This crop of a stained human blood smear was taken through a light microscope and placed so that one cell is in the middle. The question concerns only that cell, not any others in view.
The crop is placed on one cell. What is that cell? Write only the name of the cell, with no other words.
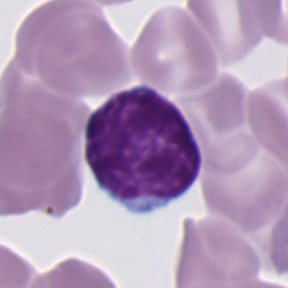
lymphocyte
